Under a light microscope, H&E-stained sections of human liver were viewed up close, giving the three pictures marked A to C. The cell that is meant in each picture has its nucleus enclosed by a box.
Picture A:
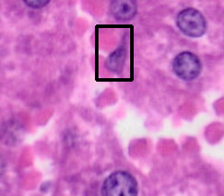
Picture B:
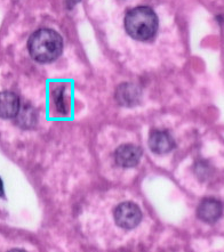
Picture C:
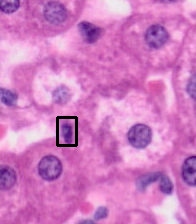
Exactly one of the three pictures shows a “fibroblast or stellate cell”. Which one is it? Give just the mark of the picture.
C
